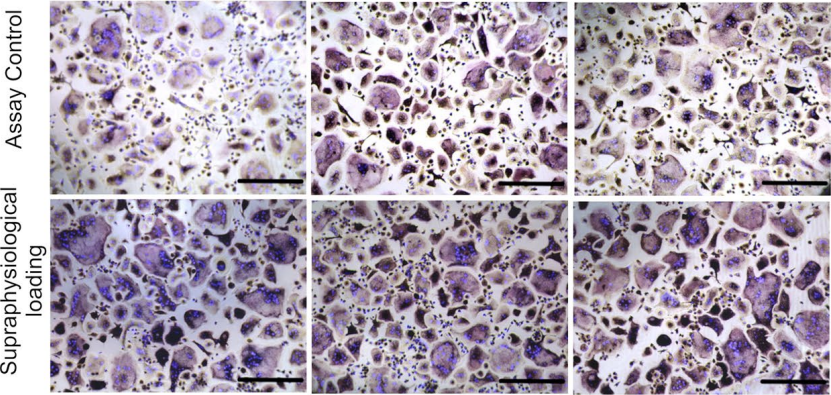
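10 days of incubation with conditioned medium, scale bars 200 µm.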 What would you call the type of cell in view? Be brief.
osteoclast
